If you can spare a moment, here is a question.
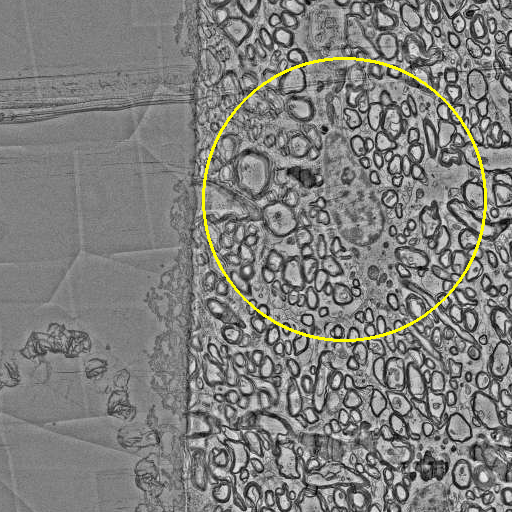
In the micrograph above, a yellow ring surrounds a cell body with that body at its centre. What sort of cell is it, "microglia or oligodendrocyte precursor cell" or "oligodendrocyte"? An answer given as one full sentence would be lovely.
Centred inside the yellow ring, the cell body shown belongs to an oligodendrocyte in this micrograph.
